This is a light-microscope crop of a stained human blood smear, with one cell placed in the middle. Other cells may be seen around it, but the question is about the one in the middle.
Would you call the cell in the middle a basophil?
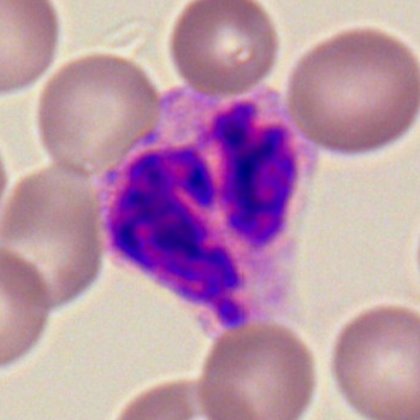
yes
